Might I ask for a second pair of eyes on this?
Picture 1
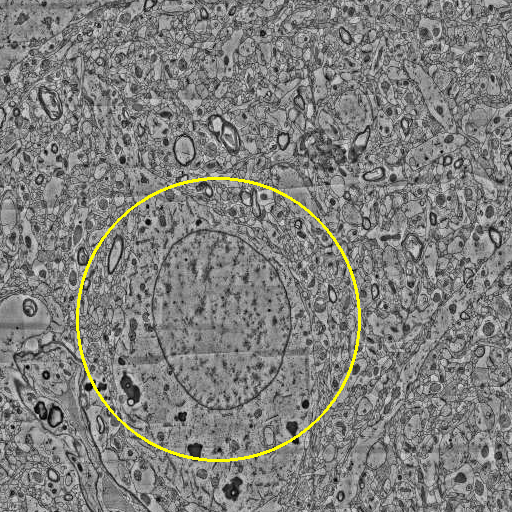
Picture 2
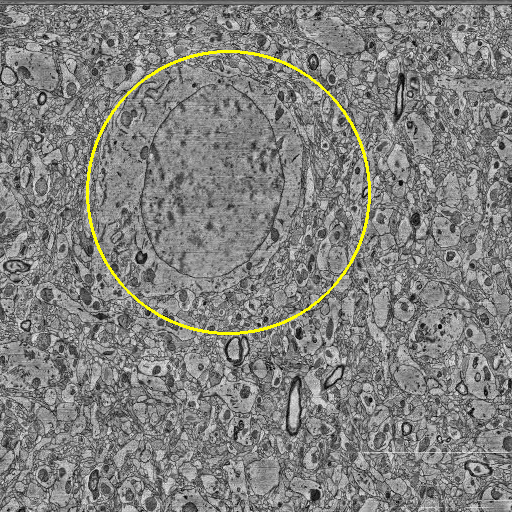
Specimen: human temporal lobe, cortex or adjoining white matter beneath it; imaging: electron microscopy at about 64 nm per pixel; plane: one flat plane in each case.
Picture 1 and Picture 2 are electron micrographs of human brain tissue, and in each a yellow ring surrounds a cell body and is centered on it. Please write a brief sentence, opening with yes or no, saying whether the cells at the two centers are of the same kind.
Yes, the cells are of the same kind.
